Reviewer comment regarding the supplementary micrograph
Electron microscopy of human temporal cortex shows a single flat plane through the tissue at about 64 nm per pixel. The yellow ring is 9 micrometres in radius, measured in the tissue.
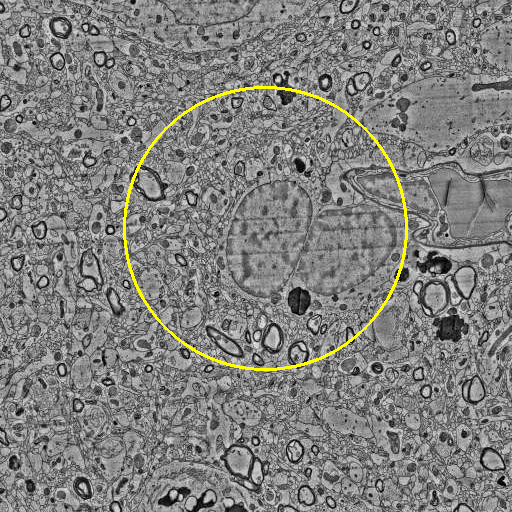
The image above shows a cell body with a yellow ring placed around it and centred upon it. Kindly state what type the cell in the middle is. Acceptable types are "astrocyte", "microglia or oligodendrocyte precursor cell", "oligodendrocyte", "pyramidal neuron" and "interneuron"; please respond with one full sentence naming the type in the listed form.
In the image above, the cell on which the yellow ring is centred is an oligodendrocyte.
